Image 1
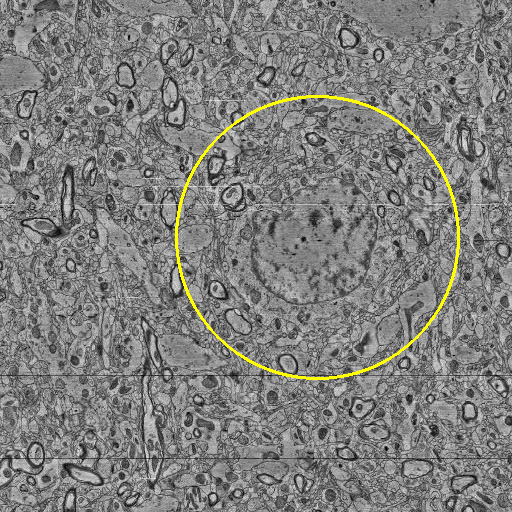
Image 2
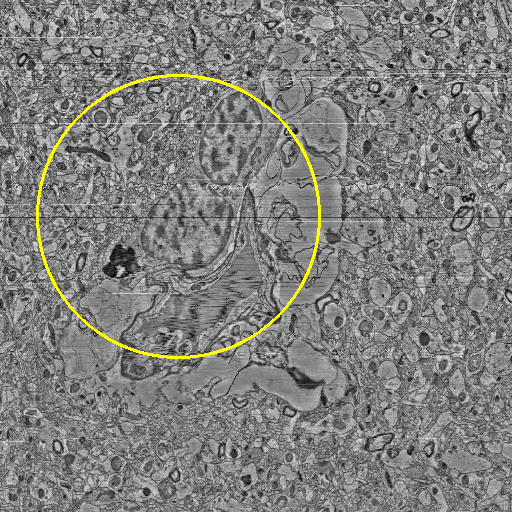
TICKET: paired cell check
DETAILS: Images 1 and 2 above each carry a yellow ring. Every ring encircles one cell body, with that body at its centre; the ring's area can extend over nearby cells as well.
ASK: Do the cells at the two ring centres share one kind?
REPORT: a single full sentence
No, the ring-centre cells of Images 1 and 2 belong to two kinds.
